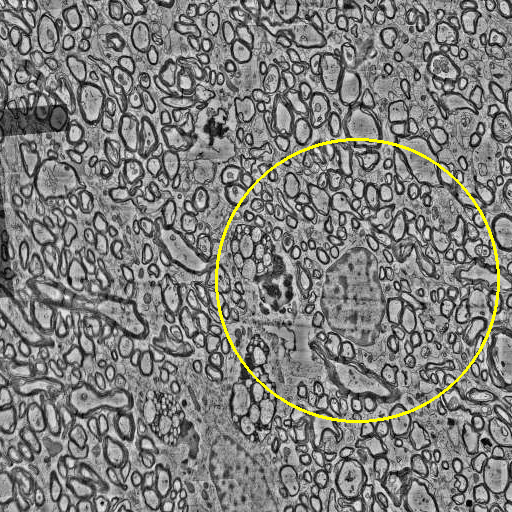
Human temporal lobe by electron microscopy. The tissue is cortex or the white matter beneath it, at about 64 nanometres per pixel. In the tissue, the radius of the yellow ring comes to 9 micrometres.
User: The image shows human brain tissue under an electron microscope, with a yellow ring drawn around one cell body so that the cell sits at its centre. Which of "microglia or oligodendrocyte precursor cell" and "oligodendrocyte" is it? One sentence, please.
At the centre of the ring sits a microglial cell or oligodendrocyte precursor cell.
